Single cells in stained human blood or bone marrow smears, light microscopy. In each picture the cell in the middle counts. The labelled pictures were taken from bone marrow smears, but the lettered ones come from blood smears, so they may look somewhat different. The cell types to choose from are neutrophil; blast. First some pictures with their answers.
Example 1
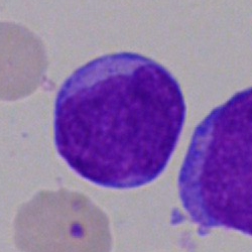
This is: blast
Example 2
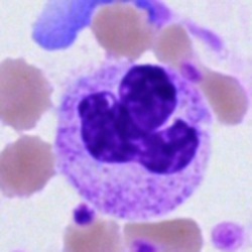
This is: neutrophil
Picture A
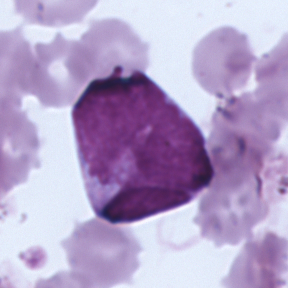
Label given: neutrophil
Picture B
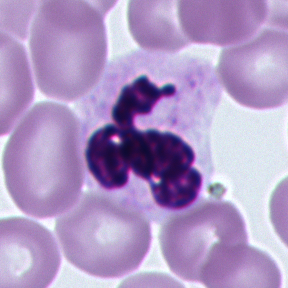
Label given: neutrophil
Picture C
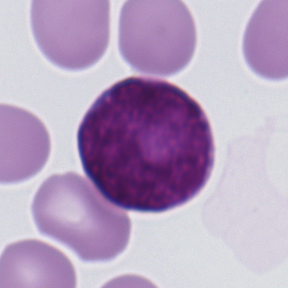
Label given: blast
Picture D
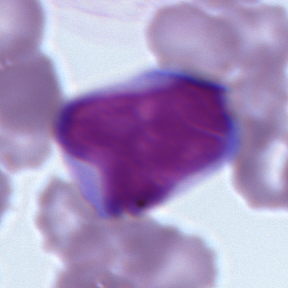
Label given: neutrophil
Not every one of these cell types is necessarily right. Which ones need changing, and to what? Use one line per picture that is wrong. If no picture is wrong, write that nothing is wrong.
A is labelled neutrophil; correct label: blast
D is labelled neutrophil; correct label: blast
